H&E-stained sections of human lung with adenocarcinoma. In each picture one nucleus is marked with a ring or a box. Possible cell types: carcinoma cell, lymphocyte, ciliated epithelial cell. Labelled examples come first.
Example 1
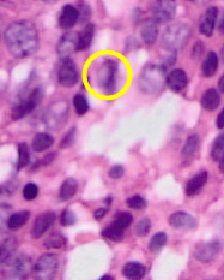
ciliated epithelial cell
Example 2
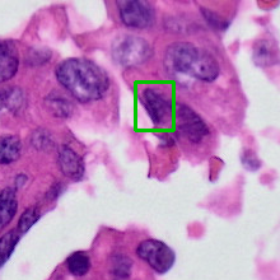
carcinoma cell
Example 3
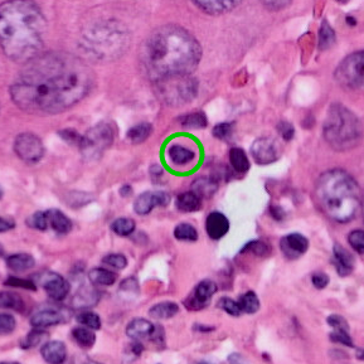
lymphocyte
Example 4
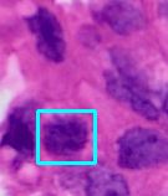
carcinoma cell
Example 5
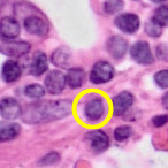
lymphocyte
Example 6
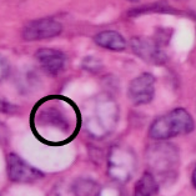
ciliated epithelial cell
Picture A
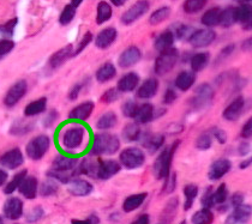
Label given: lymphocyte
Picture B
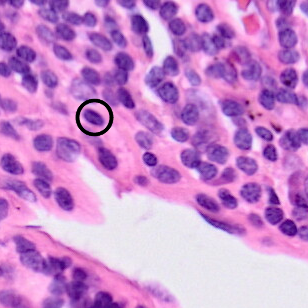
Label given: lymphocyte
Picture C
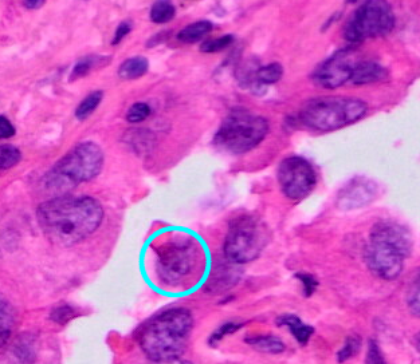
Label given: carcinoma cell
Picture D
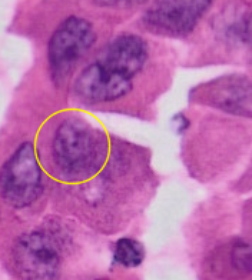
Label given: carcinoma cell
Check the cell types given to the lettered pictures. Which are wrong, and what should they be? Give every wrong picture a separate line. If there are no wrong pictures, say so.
Every label is right.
